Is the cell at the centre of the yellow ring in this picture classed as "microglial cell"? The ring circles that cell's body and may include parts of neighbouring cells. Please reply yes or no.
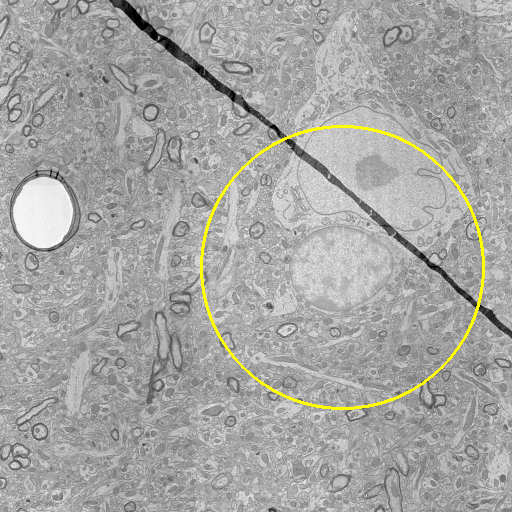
No, it is of another kind.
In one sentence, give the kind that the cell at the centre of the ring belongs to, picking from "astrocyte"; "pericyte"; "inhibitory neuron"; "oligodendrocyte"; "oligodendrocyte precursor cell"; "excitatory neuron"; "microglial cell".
So the cell at the centre is an oligodendrocyte.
